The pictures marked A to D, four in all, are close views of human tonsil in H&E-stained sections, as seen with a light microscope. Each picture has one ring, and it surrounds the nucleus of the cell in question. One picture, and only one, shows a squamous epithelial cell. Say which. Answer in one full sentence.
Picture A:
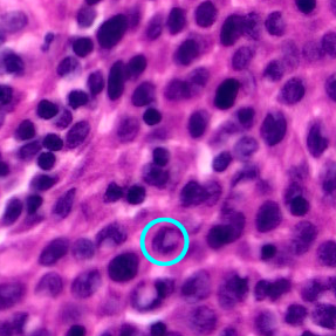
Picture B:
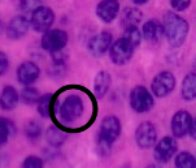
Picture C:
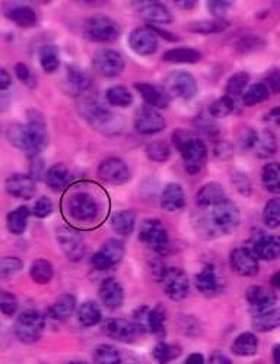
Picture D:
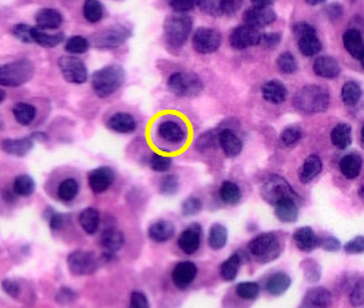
The squamous epithelial cell is the one in picture A.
